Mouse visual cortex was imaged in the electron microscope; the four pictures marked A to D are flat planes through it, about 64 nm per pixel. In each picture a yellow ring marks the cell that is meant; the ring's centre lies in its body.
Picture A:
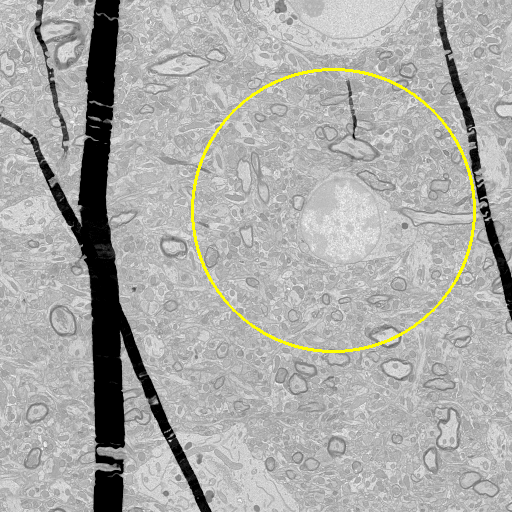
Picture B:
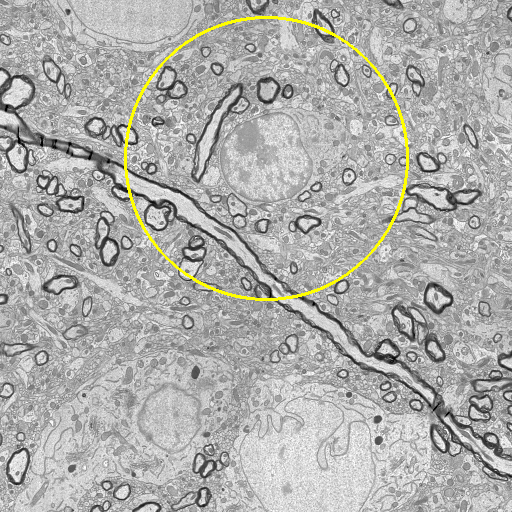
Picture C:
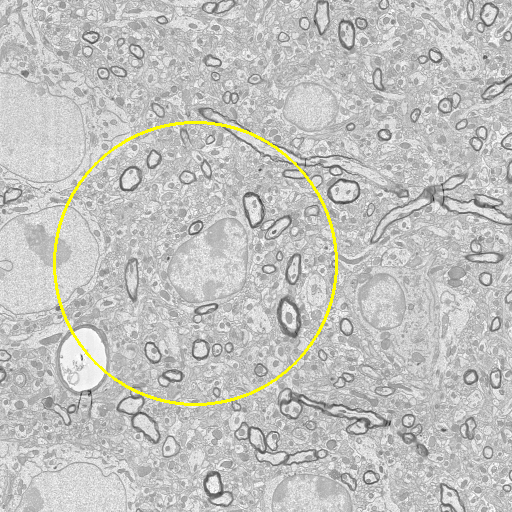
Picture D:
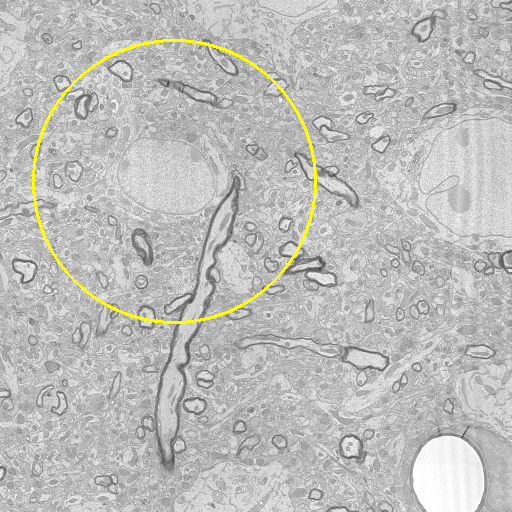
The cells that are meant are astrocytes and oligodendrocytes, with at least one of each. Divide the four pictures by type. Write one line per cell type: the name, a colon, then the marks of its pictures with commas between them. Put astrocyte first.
astrocyte: D
oligodendrocyte: A, B, C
